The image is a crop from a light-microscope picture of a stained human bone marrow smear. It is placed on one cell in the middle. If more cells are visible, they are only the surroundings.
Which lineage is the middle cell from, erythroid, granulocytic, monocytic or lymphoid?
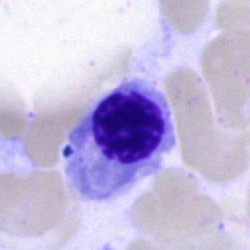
erythroid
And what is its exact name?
erythroblast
